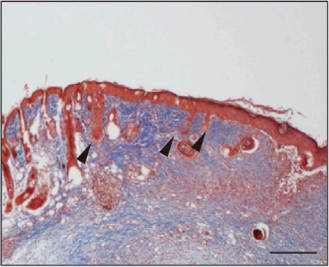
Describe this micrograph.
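This is a section of skin with a red-stained epidermis along the top and a dermis below. The epidermis forms a continuous red band of varying thickness over the surface. From it, several narrow red epithelial strands run downward into the dermis, and round to oval red-rimmed profiles of follicle-like structures lie scattered beneath the surface.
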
